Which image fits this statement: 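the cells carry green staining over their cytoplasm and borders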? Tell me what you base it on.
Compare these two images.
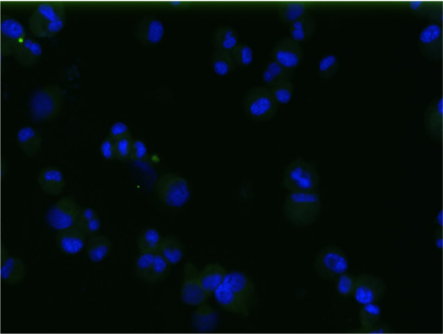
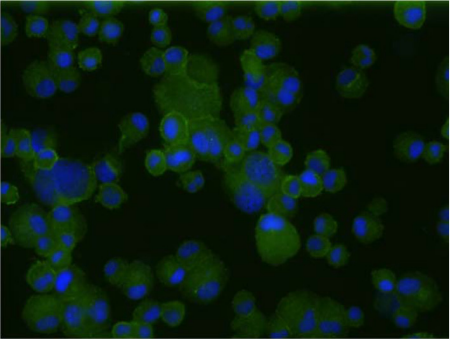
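First image: blue nuclei with almost no green around them. Second image: each blue nucleus is surrounded by green cytoplasm with brighter green cell borders. That points to this answer: the second image.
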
